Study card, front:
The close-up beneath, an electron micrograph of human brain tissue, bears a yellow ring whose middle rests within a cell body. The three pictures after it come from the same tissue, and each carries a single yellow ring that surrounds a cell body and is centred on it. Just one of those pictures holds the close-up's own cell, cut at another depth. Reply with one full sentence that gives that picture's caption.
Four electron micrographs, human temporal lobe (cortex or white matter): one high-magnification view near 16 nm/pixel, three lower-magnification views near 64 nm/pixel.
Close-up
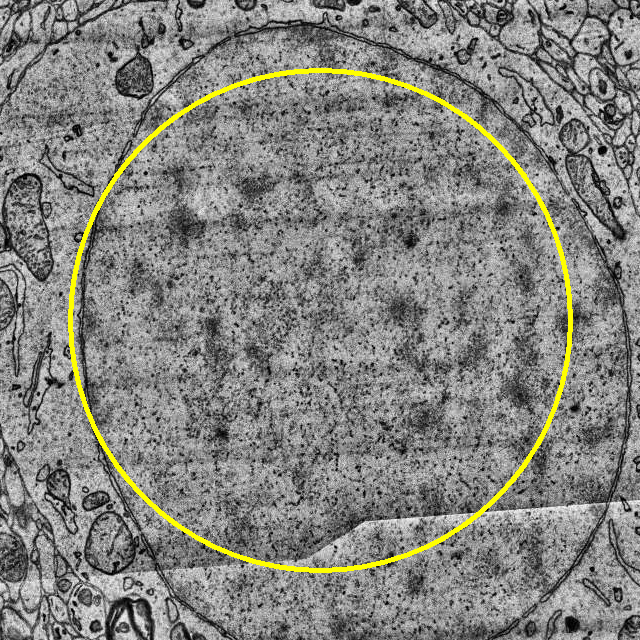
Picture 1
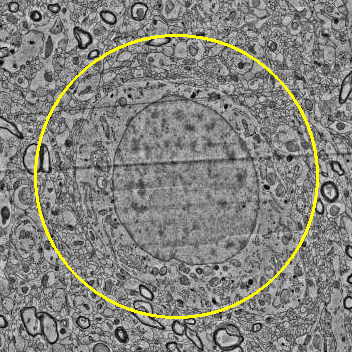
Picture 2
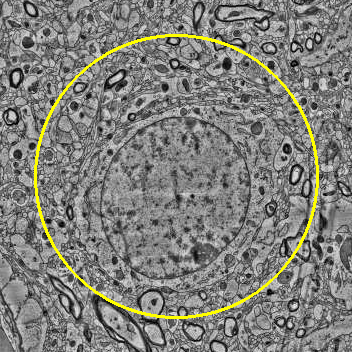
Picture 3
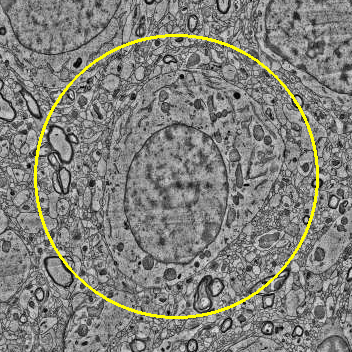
The close-up matches the cell enclosed by the yellow ring in Picture 1.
